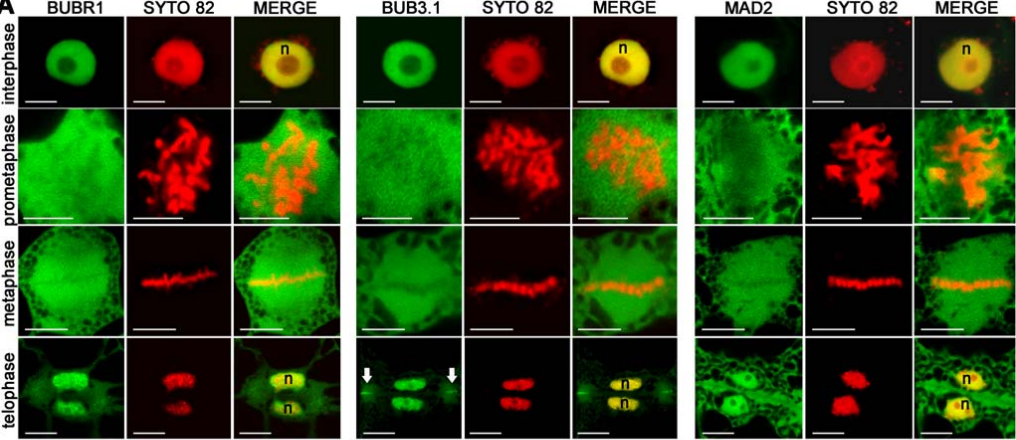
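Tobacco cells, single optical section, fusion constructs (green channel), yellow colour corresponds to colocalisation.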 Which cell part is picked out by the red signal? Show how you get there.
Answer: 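Chromosomes. Red signal forms condensed rod-like bodies in the prometaphase row. Red signal forms a thin band across the cell in the metaphase row. Red signal forms two separate compact masses in the bottom row.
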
